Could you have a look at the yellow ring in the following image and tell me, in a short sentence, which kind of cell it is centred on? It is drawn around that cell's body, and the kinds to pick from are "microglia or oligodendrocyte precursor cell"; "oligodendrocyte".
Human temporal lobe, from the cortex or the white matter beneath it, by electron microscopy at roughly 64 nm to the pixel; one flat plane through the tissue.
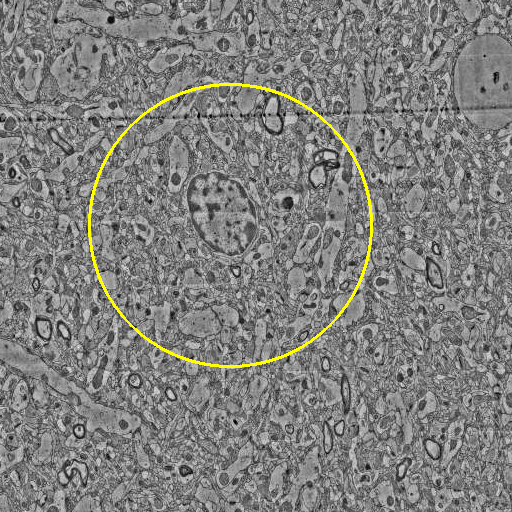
The ring is centred on the body of a microglial cell or oligodendrocyte precursor cell.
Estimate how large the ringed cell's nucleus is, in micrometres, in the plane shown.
In this plane the nucleus is about 5 micrometres by 4.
